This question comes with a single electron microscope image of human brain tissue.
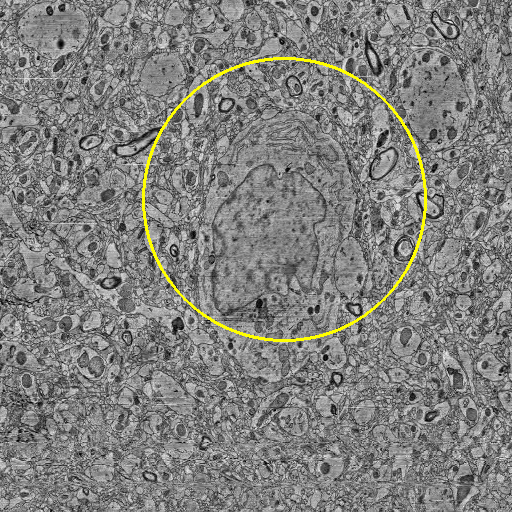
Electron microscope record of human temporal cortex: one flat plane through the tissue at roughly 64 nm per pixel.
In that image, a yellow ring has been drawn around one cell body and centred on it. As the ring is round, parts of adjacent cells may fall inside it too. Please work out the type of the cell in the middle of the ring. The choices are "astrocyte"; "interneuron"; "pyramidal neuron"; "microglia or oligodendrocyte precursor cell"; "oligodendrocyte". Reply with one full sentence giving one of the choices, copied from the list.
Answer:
Of the choices, an interneuron is the cell sitting in the middle of the ring.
